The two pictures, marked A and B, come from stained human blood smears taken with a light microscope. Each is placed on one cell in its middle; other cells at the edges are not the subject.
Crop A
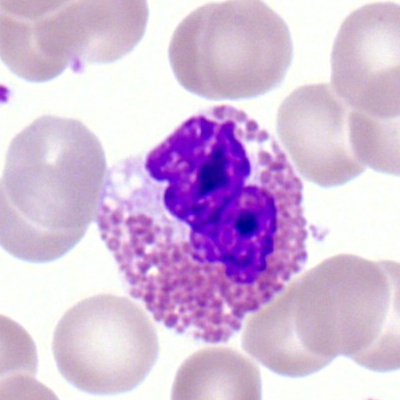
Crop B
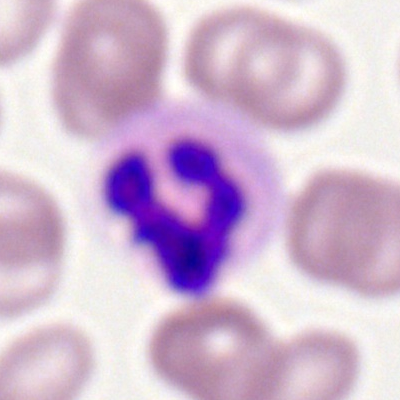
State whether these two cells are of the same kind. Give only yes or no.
no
